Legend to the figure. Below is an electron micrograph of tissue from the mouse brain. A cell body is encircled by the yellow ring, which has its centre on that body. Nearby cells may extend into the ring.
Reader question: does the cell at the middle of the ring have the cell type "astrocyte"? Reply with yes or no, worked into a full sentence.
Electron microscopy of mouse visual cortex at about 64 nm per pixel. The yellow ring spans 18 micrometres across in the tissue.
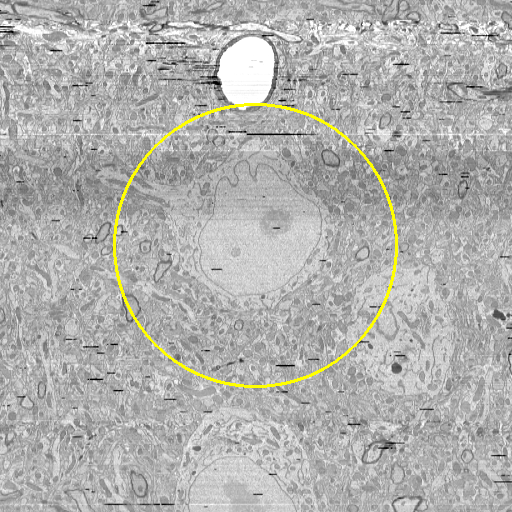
No, the cell sitting at the middle of the ring in the picture has another cell type.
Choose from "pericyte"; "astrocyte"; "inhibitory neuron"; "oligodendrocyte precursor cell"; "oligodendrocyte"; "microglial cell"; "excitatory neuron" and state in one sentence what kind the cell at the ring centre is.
Here, the ring is centred on an excitatory neuron instead.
